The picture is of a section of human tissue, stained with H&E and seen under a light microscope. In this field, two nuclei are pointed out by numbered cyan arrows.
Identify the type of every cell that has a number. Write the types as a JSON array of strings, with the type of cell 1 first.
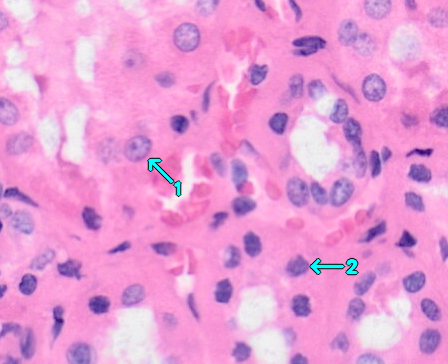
["proximal tubule cell", "loop of Henle or distal tubule cell"]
